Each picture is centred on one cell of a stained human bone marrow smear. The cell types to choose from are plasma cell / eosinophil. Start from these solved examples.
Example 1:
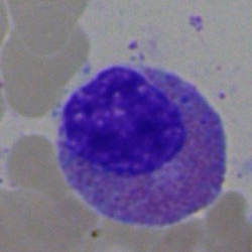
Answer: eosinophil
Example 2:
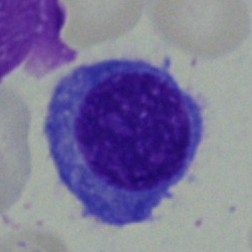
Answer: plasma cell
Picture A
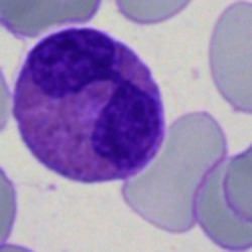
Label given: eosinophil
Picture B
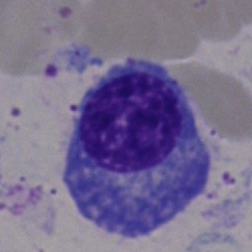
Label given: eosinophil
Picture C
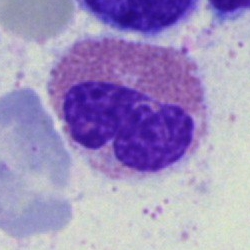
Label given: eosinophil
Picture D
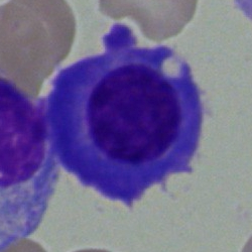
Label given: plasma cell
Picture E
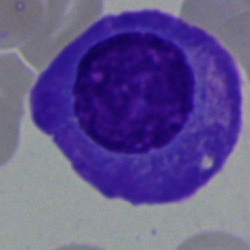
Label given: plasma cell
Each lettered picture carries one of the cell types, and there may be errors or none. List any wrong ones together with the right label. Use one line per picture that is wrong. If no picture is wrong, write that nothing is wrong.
B is labelled eosinophil; correct label: plasma cell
